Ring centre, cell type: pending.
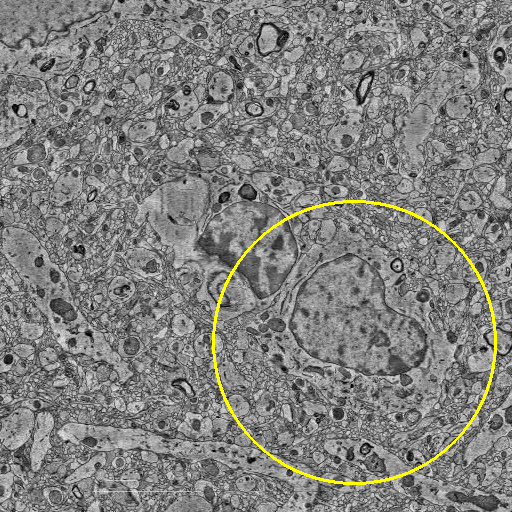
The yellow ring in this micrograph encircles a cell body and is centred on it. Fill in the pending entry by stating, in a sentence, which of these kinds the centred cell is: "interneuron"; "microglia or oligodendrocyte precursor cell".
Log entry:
The centred cell is recorded as a microglial cell or oligodendrocyte precursor cell.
